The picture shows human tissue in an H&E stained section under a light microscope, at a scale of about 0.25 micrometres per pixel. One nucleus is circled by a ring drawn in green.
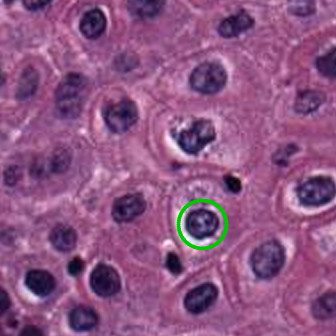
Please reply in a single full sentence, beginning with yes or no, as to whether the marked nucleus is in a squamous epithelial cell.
Yes, the nucleus singled out in the image belongs to a squamous epithelial cell.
